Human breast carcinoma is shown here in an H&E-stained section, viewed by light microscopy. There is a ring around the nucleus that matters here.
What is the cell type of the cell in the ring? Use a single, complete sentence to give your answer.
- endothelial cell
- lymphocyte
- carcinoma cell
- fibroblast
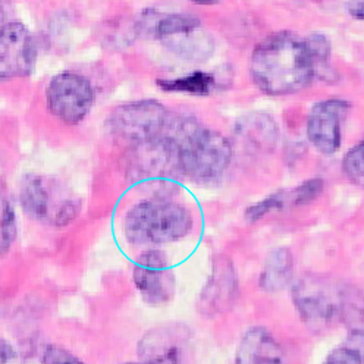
Recorded by type, the cell in the ring is a carcinoma cell.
